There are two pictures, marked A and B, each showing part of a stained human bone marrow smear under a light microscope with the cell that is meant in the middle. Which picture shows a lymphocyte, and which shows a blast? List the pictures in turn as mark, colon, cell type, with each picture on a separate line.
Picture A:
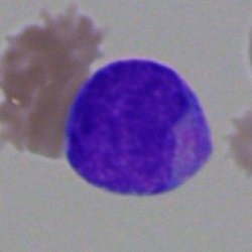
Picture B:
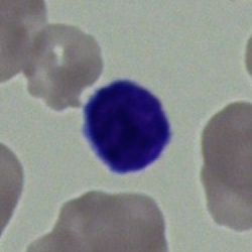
A: blast
B: lymphocyte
